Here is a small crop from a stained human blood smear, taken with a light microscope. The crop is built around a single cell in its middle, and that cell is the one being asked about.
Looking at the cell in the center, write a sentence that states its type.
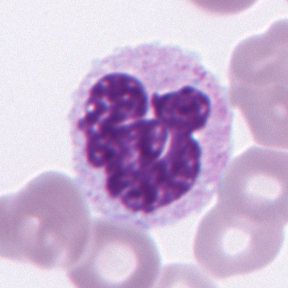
The cell under consideration, at the middle of the crop, is a segmented neutrophil.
